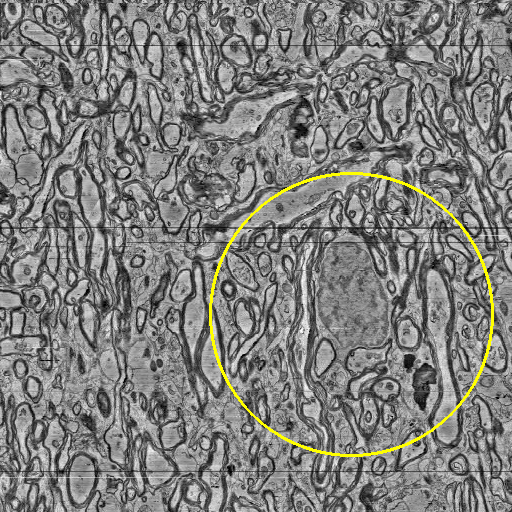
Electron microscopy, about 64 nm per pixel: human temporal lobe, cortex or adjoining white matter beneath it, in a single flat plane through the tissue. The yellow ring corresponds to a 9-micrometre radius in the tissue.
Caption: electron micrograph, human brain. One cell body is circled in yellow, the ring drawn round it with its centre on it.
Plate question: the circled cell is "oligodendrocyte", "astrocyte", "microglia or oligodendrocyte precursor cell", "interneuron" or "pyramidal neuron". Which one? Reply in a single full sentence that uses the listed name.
The yellow ring on the plate is centred on an oligodendrocyte, going by the listed names.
